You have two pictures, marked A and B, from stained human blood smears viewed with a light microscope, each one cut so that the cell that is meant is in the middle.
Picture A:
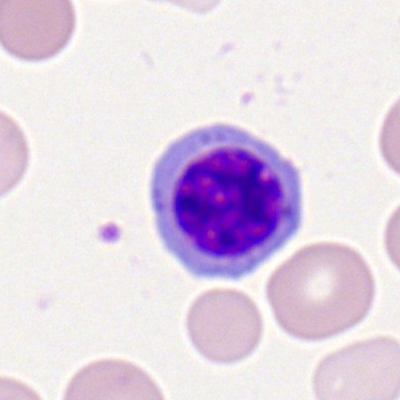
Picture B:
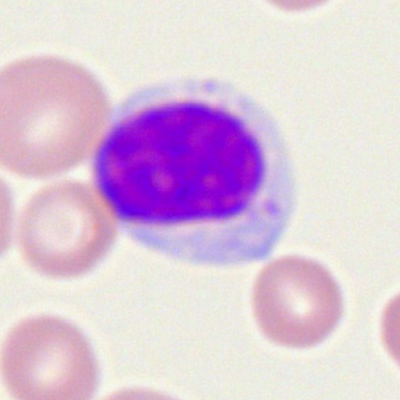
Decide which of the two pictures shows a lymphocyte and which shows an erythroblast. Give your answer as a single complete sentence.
Picture A is of an erythroblast, and picture B is of a lymphocyte.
